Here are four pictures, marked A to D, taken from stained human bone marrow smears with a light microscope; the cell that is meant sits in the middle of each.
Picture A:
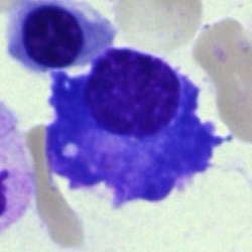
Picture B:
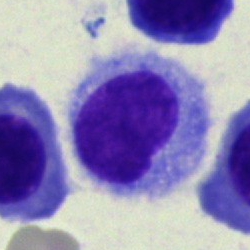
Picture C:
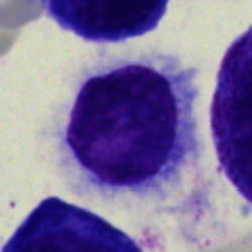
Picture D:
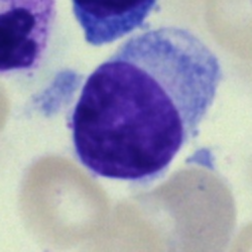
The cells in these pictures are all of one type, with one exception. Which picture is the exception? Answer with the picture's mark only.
A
